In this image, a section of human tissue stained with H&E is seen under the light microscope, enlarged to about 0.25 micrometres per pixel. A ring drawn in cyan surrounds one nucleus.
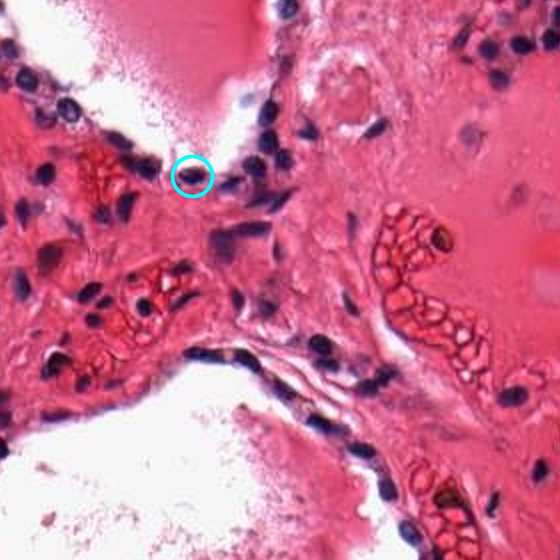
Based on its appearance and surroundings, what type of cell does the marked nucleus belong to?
thyroid follicular cell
